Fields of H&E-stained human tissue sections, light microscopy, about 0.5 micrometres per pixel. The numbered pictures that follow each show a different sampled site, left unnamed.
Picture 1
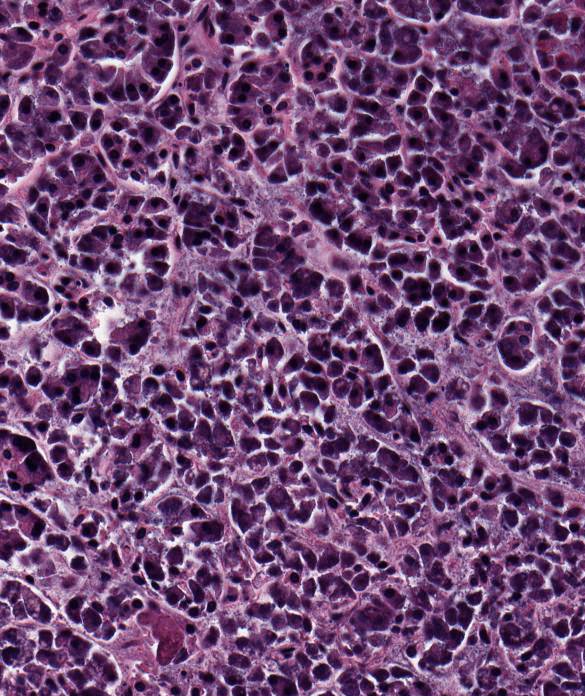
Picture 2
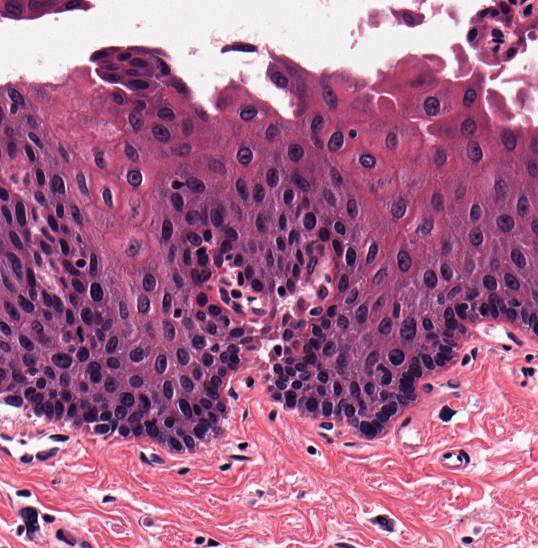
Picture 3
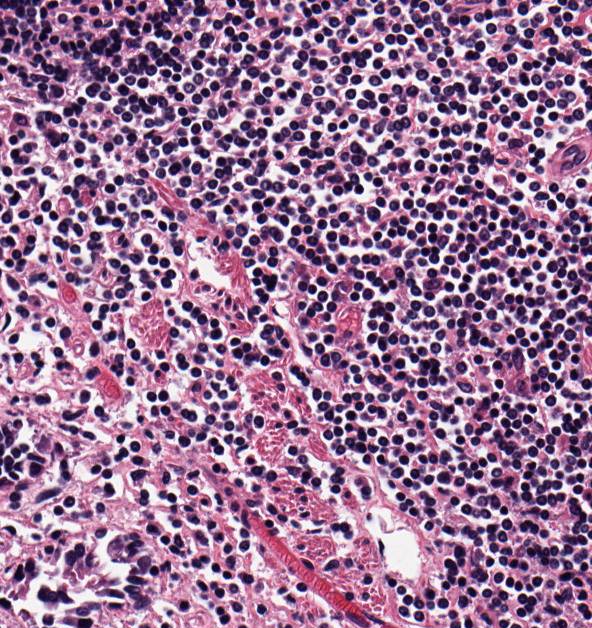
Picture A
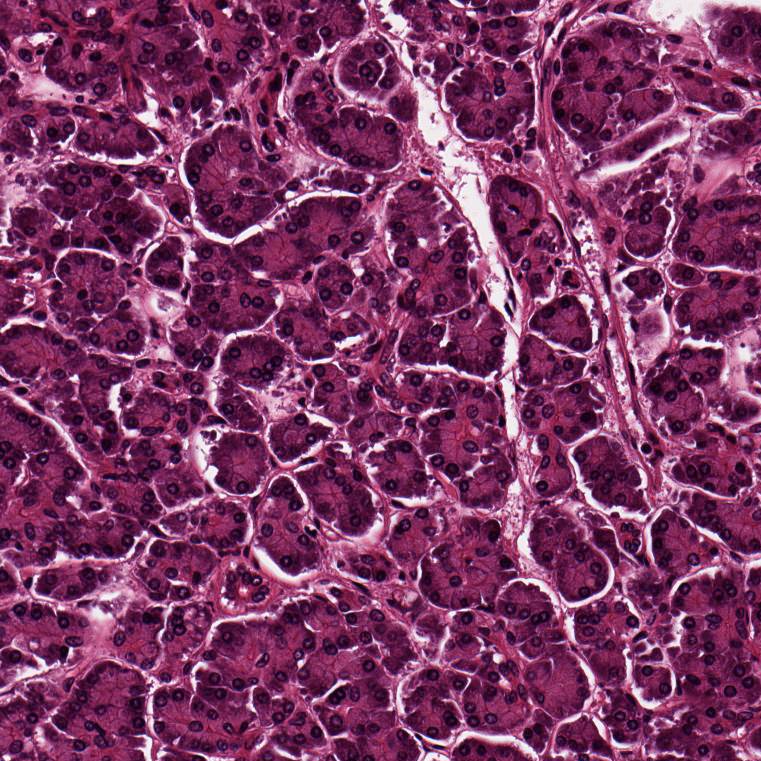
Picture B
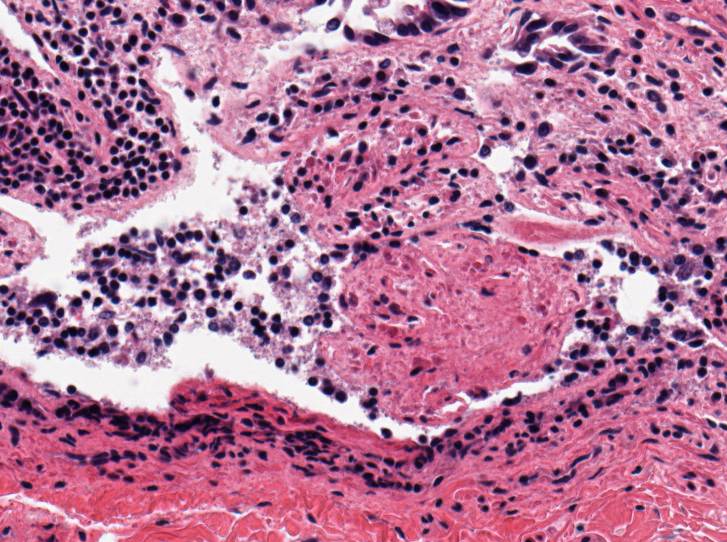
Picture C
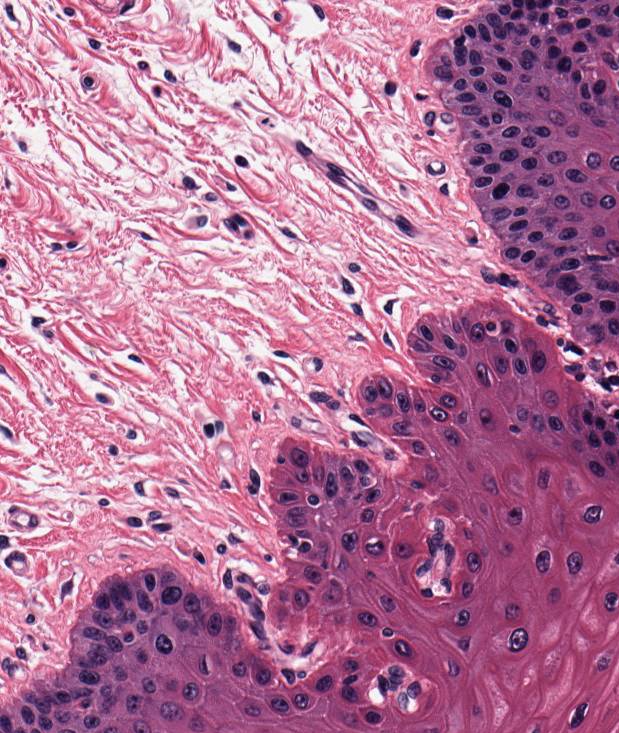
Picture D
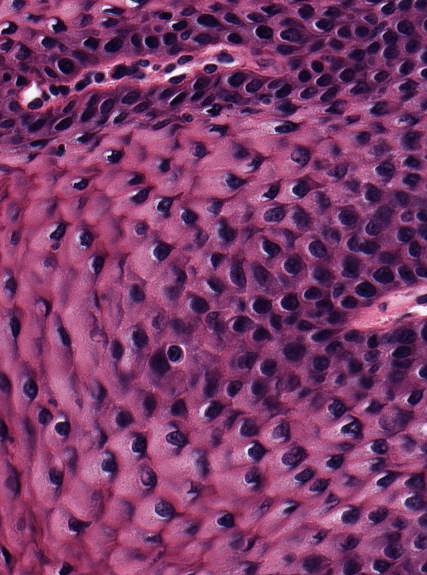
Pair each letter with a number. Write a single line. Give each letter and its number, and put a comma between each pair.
A 1, B 3, C 2, D 2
